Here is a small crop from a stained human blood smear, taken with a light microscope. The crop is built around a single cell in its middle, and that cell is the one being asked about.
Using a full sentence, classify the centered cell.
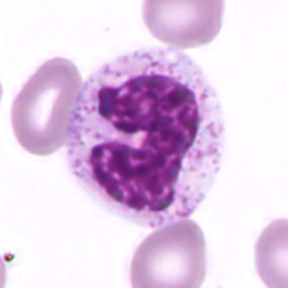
Occupying the centre of the crop is a band neutrophil.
